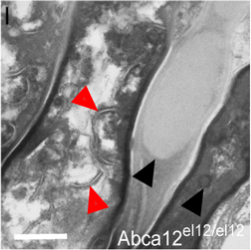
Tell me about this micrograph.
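These are neighbouring cornified cells of the epidermis seen at high magnification, separated by dark, thick cell envelopes. Instead of a uniform interior, one cell holds pale, loosely fibrillar material with small membrane-bound vesicles scattered in it, vesicular fibrillar structures. Alongside lies a large, smooth, uniformly grey elongated body enclosed between dark envelopes, an inclusion body. The contents of these cornified cells are thus heterogeneous rather than evenly dense.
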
